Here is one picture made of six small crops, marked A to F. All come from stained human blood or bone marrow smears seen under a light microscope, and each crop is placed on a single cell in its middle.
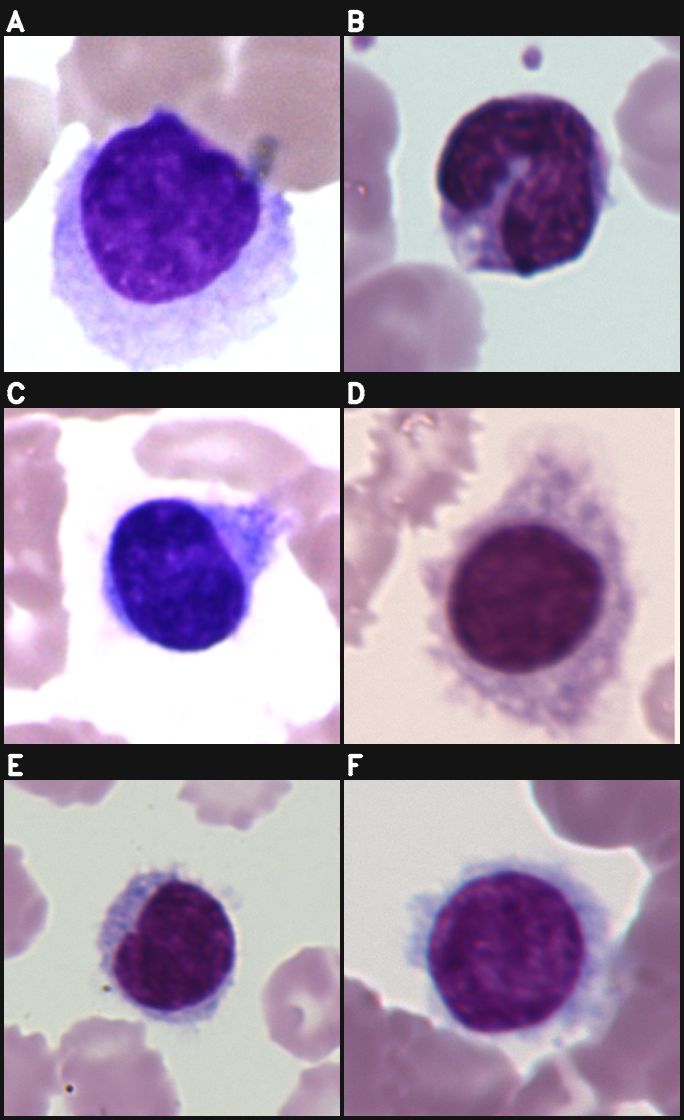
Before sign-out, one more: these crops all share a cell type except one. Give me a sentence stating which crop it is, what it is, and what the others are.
Crop B contains a monocyte, setting it apart from the other crops, which all contain hairy cells.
